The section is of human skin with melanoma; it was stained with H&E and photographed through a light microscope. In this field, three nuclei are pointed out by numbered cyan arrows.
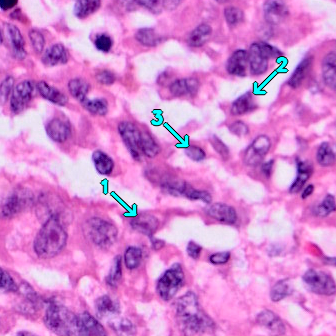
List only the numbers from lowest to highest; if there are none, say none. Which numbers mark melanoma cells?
1, 2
